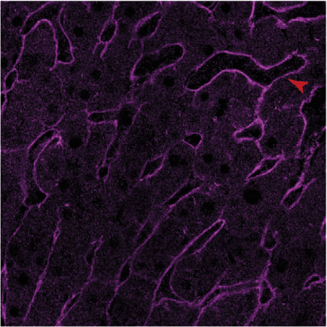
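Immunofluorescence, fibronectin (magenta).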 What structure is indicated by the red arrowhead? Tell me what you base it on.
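Sinusoids. Thin magenta lines outline branching elongated channels. The channels form a network across the field.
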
